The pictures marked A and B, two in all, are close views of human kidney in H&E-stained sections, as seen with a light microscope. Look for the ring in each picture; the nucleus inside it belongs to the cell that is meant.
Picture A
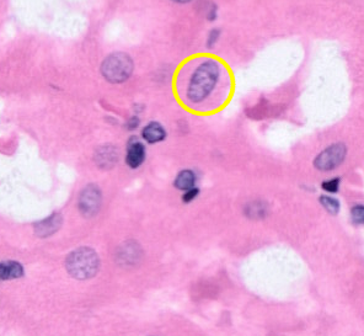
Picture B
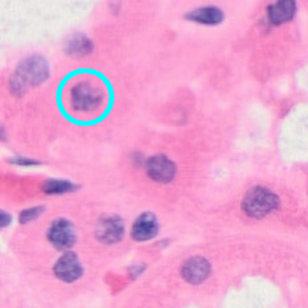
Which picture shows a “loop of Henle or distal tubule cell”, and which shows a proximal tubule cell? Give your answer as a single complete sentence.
The cell in picture A is a proximal tubule cell, and the one in picture B is a “loop of Henle or distal tubule cell”.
